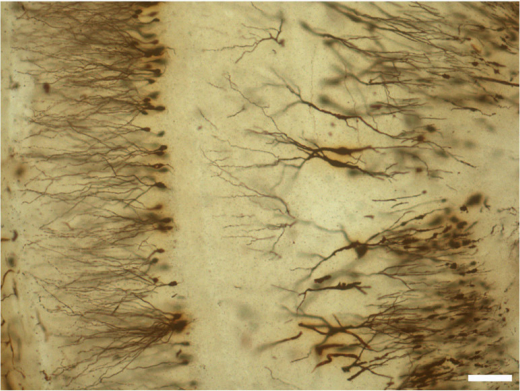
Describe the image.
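This is a section of hippocampal tissue in which scattered nerve cells are impregnated black-brown against a pale yellow background. Along the left side a row of small cell bodies lines up along a sharp border, and from each a brush of thin, roughly parallel processes runs away to the left, making a dense dark band. To the right of that border lies a pale zone crossed by only a few thin fibres. Further right, several larger cell bodies send out long, branching processes in different directions, and some are clustered in dark tangles at the lower right. Only a minority of cells are filled, each in its entirety, which is why single processes can be followed for long distances.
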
